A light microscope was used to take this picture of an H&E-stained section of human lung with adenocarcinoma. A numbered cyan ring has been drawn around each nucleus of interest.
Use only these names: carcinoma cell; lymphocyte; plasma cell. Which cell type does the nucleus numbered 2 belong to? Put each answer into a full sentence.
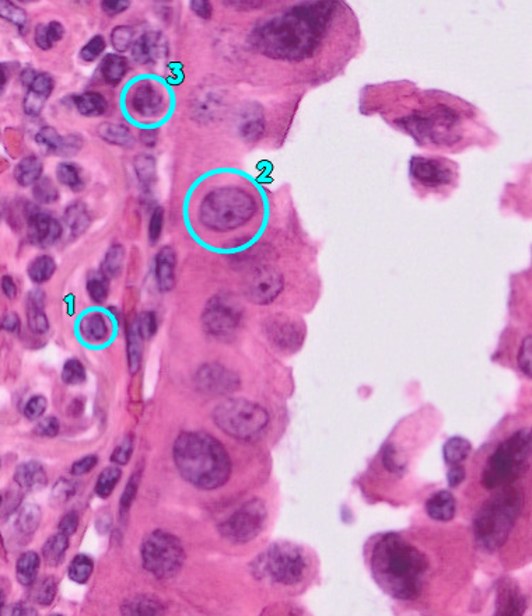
Cell 2 should be recorded as a carcinoma cell.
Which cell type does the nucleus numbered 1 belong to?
The mark numbered 1 indicates the nucleus of a lymphocyte.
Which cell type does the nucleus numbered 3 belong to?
Classified as a plasma cell is the cell with the number 3.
